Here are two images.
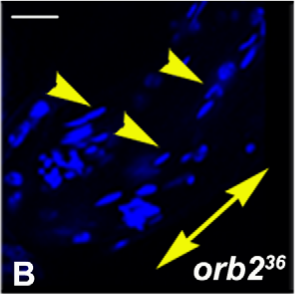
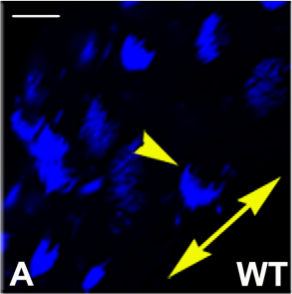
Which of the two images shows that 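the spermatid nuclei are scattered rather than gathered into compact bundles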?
The first image.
